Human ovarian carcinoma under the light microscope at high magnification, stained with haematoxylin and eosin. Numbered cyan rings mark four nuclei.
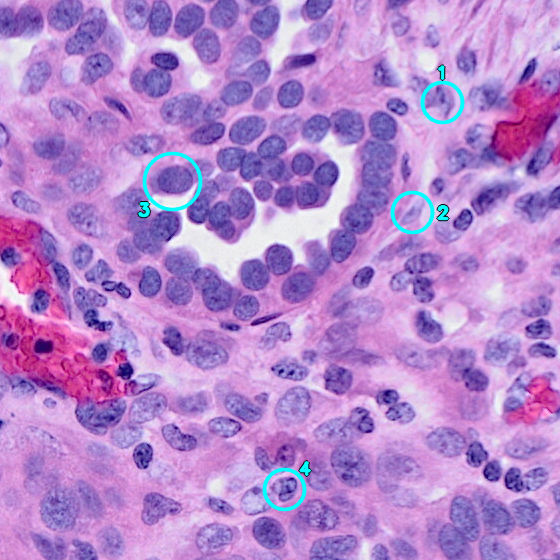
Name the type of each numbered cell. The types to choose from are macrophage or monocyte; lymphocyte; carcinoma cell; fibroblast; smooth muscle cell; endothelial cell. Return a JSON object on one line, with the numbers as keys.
{"1": "fibroblast", "2": "fibroblast", "3": "carcinoma cell", "4": "macrophage or monocyte"}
